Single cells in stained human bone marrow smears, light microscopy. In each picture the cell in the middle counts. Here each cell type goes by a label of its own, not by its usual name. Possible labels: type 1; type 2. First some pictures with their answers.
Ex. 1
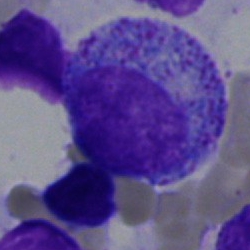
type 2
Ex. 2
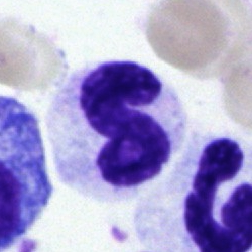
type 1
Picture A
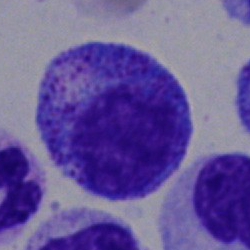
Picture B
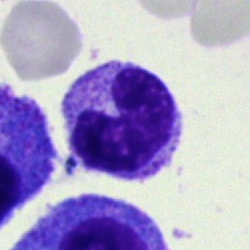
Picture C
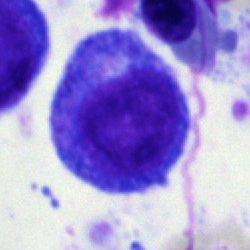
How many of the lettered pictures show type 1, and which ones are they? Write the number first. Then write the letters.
1, namely B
